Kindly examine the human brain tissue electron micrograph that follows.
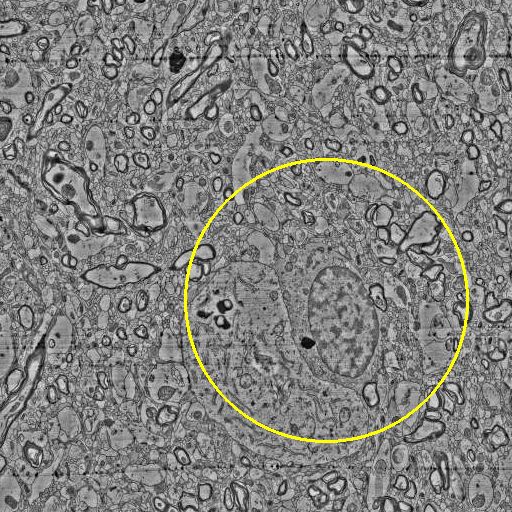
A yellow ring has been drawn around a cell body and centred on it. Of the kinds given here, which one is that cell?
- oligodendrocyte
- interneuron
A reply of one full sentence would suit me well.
The micrograph's ringed cell, the one at the ring's centre, is an oligodendrocyte.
